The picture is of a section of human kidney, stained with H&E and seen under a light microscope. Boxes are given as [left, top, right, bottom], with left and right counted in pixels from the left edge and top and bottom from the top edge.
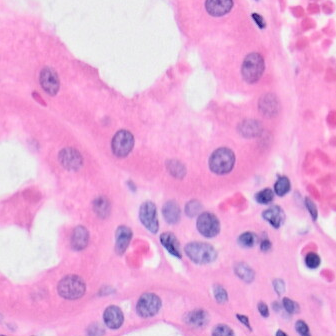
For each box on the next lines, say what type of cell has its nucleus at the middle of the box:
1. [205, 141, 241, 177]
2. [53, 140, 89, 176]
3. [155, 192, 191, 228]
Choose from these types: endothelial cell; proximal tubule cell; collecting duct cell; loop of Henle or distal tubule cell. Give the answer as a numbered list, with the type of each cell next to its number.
1. proximal tubule cell
2. proximal tubule cell
3. collecting duct cell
